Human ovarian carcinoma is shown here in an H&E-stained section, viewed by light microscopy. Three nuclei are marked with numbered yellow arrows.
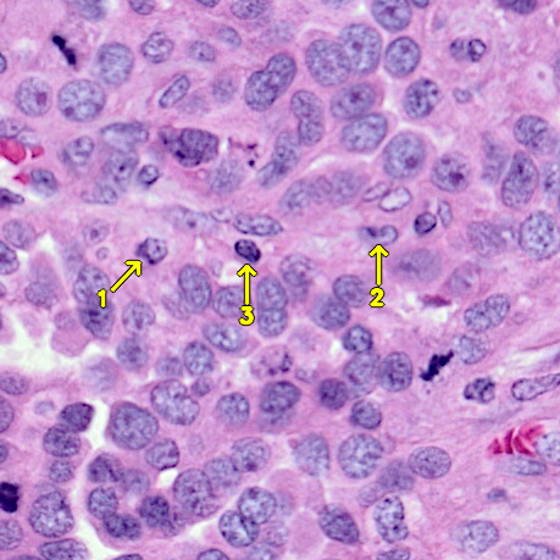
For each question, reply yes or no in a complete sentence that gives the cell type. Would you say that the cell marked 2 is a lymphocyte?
No, cell 2 is not a lymphocyte; a fibroblast is the correct identification.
